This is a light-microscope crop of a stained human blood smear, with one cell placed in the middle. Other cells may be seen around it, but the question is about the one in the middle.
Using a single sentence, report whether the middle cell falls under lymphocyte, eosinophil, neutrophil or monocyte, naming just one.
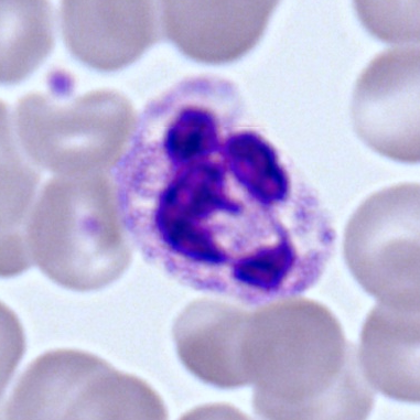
Here the centrally located cell is a neutrophil.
